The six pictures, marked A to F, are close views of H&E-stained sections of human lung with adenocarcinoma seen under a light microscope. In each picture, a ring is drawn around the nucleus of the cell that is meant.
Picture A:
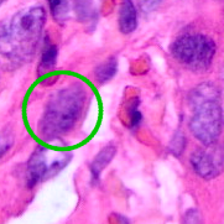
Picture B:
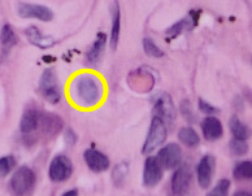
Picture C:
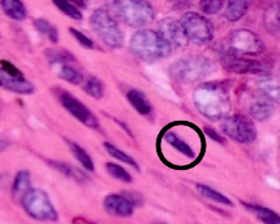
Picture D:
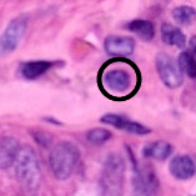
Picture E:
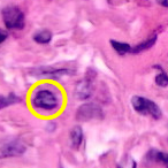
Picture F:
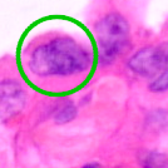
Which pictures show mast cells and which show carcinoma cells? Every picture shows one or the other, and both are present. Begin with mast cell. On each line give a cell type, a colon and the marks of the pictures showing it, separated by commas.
mast cell: B, C, D, E
carcinoma cell: A, F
